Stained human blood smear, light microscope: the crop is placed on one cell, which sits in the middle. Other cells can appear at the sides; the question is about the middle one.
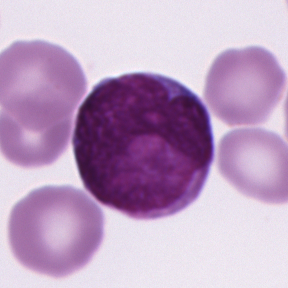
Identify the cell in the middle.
myeloblast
